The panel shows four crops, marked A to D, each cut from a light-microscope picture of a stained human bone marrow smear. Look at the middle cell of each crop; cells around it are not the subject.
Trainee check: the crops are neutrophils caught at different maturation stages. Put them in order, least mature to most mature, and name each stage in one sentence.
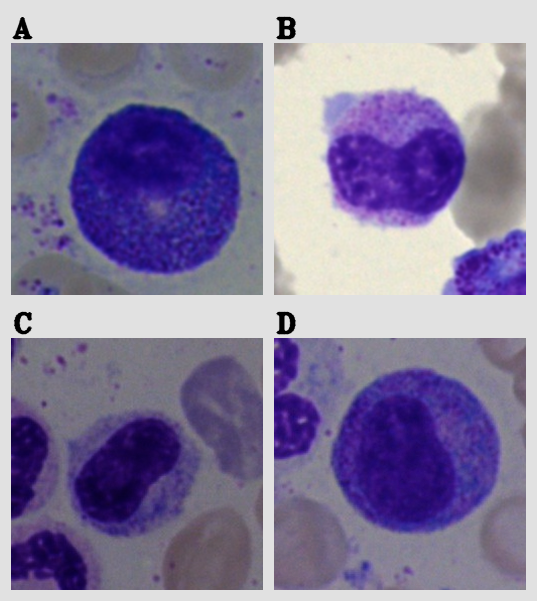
Sequenced by maturity from least to most, the crops are crop A (a promyelocyte), crop D (a myelocyte), crop C (a metamyelocyte) and crop B (a band neutrophil).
